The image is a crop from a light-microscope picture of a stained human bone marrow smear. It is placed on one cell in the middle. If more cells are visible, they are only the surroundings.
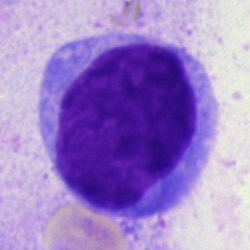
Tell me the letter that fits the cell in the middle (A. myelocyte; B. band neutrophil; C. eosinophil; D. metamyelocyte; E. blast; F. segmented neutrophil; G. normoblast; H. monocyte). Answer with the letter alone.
E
